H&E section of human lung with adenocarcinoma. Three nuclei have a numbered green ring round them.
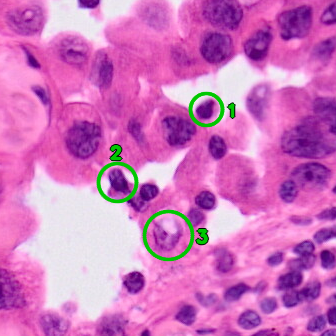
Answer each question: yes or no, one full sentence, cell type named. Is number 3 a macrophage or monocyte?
Yes, the cell carrying label 3 is a macrophage or monocyte.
